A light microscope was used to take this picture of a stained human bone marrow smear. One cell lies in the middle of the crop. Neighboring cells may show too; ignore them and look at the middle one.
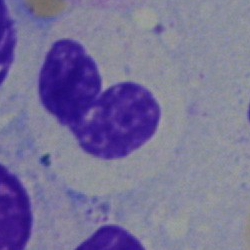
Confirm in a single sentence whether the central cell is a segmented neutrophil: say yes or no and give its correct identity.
No, the central cell is a band neutrophil, not a segmented neutrophil.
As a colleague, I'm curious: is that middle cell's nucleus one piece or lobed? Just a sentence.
Segmentation of the nucleus into two or more lobes is the finding.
